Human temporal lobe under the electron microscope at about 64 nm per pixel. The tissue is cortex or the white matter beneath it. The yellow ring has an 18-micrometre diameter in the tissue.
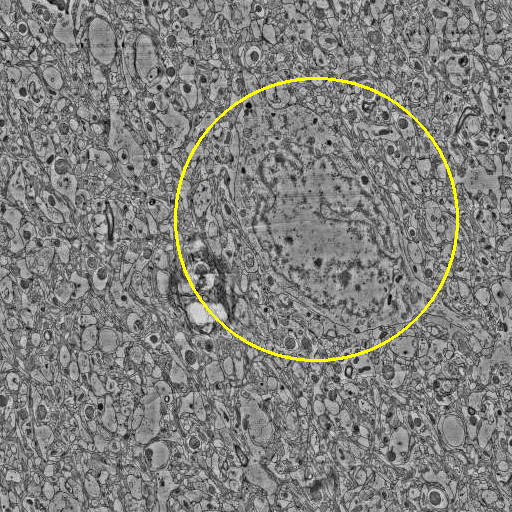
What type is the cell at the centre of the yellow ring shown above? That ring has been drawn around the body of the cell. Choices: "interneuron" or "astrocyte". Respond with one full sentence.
My answer is that an interneuron lies at the centre of the yellow ring above.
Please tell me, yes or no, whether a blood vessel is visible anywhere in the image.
No, there is none.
